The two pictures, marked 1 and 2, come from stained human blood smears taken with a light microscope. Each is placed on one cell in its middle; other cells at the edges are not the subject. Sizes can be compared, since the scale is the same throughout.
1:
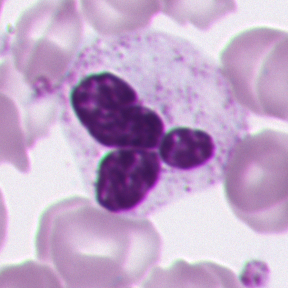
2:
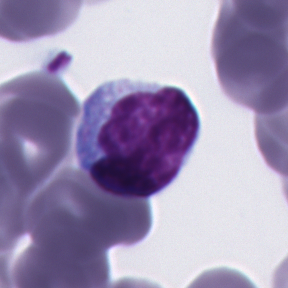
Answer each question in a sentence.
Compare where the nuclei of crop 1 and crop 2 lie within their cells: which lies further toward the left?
It is the nucleus in crop 1 that lies further toward the left of its cell.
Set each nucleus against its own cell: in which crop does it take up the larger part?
It is the cell in crop 2 that is filled more by its nucleus.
